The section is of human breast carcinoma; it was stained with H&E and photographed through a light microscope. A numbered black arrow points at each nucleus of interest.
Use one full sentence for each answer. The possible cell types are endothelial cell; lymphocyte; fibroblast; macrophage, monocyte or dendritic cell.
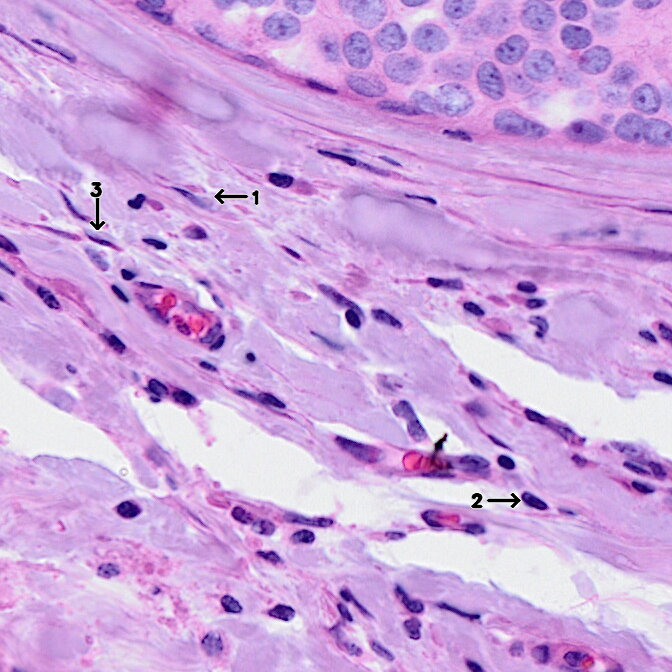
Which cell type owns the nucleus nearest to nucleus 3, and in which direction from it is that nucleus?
The nearest one is a fibroblast, found below nucleus 3.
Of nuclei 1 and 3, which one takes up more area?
Number 1 is larger; its area is about 2.5 times that of number 3.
